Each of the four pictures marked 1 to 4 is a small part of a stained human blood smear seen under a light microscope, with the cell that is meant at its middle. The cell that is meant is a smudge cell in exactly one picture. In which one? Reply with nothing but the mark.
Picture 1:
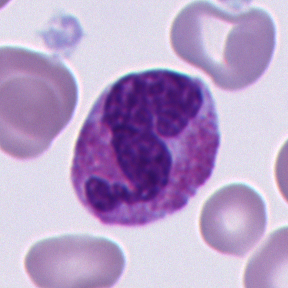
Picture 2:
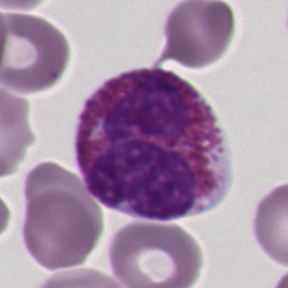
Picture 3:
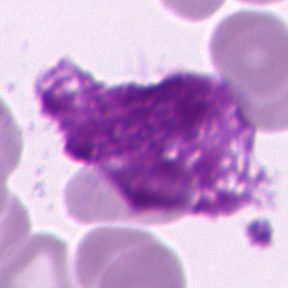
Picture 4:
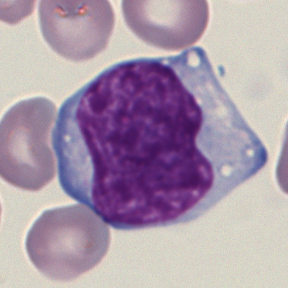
3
